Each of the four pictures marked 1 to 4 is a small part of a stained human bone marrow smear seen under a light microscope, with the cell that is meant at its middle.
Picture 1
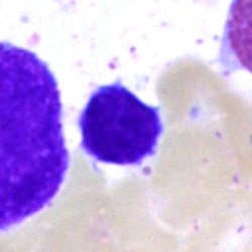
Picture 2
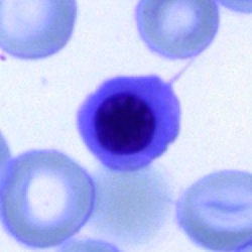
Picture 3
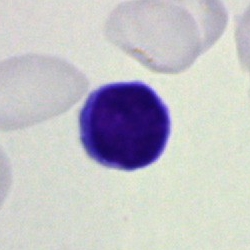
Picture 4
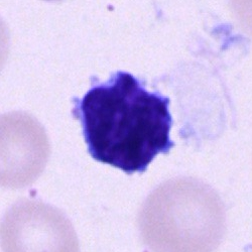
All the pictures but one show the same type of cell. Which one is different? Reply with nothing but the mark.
2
